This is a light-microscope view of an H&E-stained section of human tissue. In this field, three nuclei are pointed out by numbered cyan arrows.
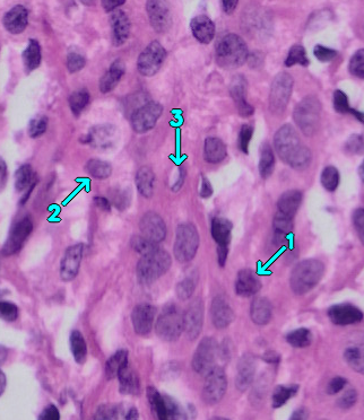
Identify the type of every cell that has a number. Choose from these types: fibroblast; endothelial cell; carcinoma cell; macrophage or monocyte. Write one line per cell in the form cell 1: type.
cell 1: carcinoma cell
cell 2: macrophage or monocyte
cell 3: endothelial cell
